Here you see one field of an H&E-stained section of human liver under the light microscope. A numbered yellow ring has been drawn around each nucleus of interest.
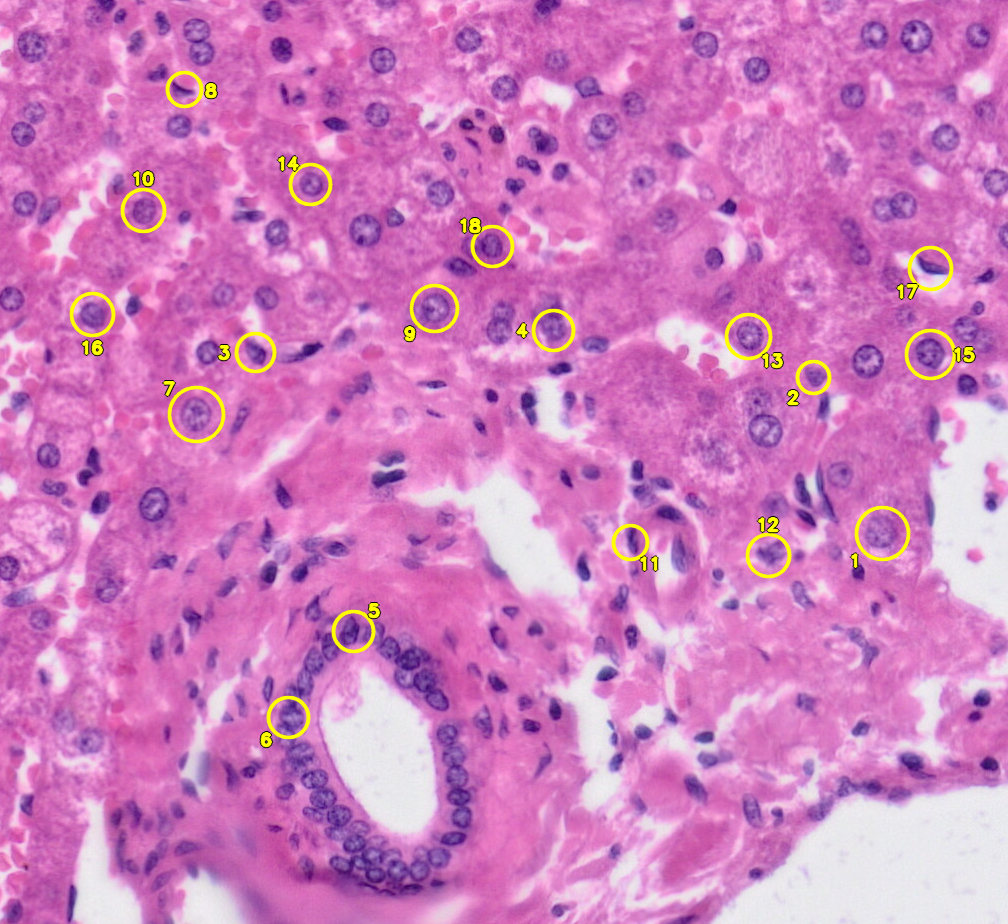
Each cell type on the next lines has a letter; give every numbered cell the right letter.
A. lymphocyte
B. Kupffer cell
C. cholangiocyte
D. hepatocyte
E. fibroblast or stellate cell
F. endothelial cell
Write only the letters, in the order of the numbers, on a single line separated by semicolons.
D; E; E; D; C; C; D; F; D; D; E; E; D; D; D; D; F; D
